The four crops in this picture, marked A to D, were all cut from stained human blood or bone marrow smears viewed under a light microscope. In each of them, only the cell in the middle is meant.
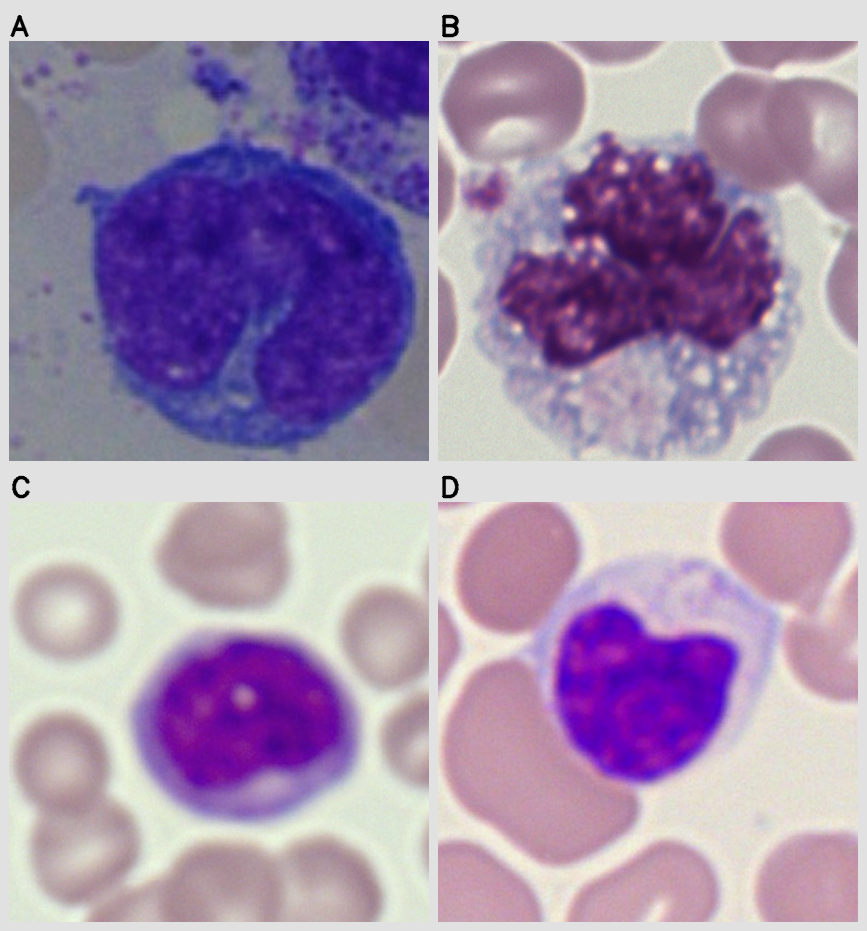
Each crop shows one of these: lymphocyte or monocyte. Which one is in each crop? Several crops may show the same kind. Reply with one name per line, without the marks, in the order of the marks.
monocyte
monocyte
monocyte
lymphocyte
